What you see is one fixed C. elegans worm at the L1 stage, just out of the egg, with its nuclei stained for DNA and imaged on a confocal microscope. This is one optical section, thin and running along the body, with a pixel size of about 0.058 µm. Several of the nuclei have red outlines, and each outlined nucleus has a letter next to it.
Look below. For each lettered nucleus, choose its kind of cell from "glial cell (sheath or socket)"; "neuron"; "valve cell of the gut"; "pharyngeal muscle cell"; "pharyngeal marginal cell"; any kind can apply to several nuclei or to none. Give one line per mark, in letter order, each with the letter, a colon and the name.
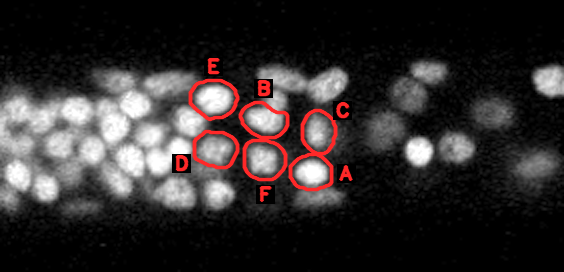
A: glial cell (sheath or socket)
B: pharyngeal marginal cell
C: valve cell of the gut
D: pharyngeal muscle cell
E: neuron
F: pharyngeal muscle cell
